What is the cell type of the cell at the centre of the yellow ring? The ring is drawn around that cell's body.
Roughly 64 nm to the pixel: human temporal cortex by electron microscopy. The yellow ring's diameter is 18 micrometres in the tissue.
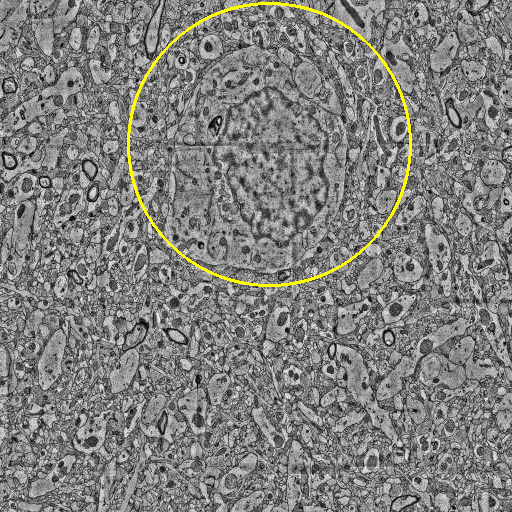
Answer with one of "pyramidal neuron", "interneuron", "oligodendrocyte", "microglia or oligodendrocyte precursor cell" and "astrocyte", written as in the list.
interneuron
